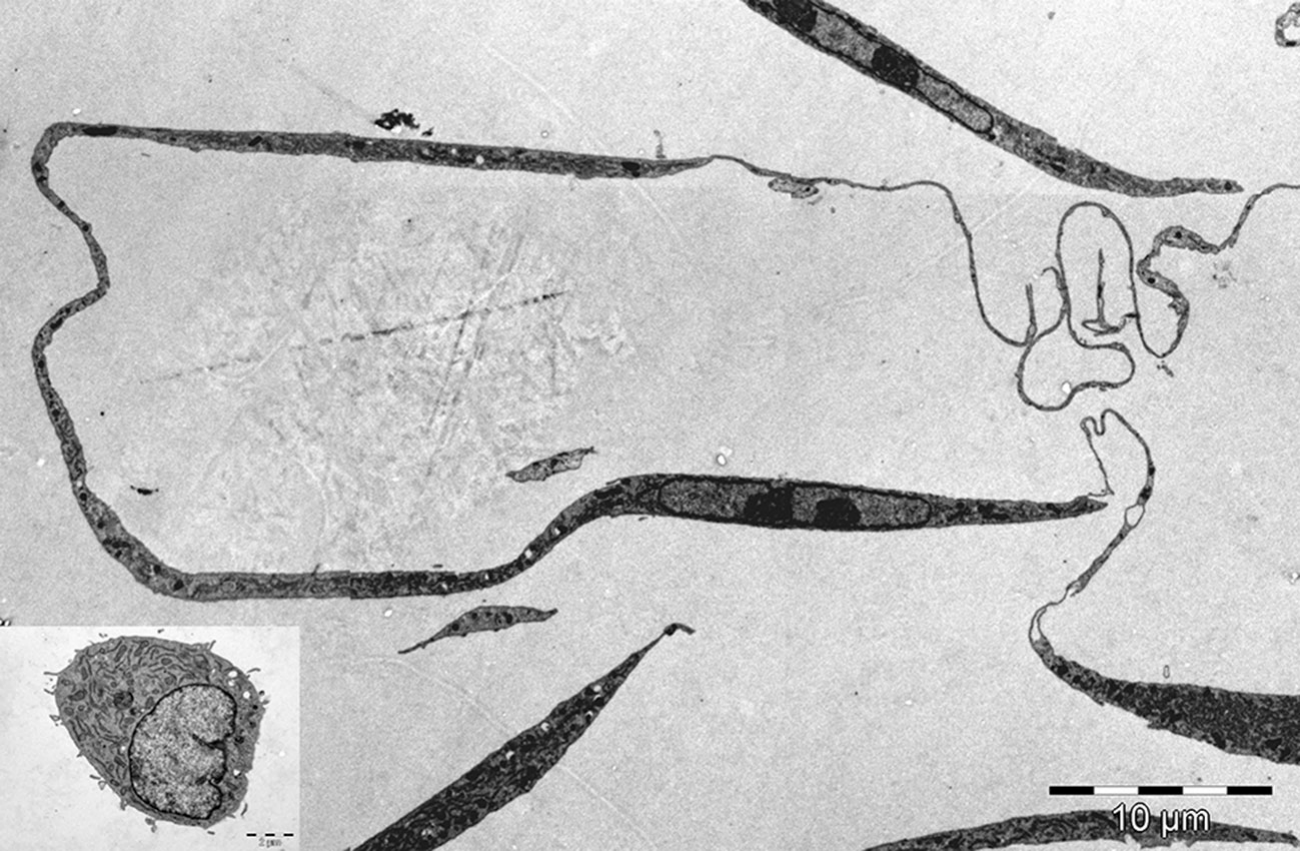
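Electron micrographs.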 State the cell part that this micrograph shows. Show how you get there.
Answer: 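A thin cell process loops and folds back on itself many times in the right part of the image. The process is only a thin line in places and is slightly thicker in others. It runs for many times the length of the 10 μm scale bar. That points to this answer: convoluted telopode.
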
